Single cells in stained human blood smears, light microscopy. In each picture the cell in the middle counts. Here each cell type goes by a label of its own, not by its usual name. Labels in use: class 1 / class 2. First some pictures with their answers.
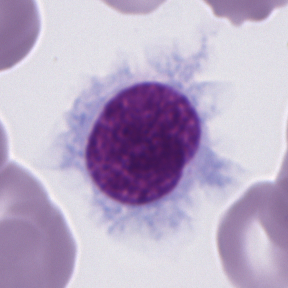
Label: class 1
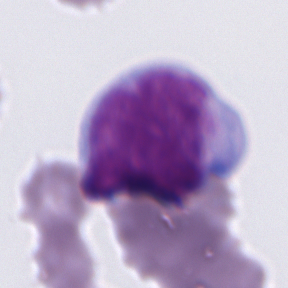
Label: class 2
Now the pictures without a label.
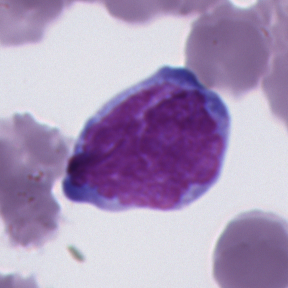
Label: class 2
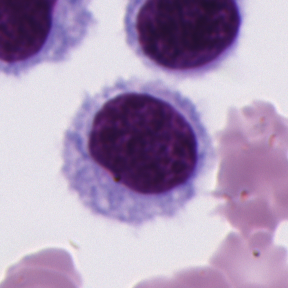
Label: class 1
